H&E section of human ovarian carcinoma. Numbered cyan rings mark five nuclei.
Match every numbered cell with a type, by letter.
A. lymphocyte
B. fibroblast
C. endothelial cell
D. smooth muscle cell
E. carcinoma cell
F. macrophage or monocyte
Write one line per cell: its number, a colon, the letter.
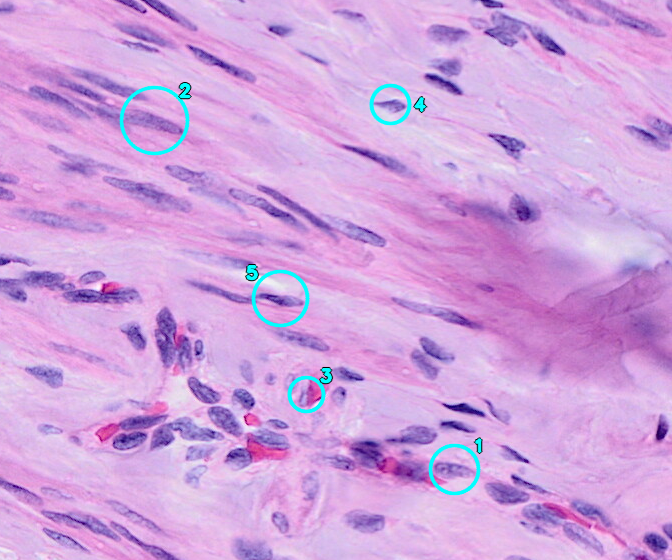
1: C
2: D
3: C
4: B
5: D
